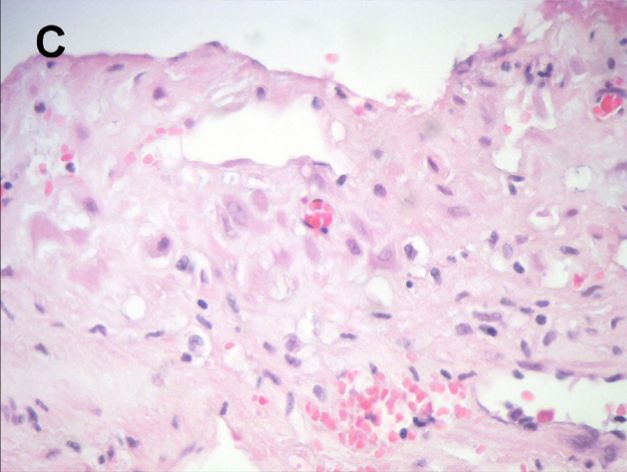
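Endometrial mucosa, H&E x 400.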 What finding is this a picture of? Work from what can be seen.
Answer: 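Stromal cells are enlarged and polygonal with ample pale pink cytoplasm. Cells lie spread in a loose pink matrix with small vessels. So: Decidual transformation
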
